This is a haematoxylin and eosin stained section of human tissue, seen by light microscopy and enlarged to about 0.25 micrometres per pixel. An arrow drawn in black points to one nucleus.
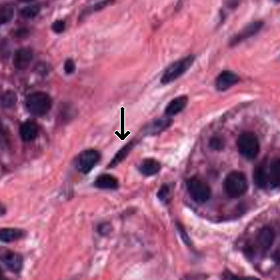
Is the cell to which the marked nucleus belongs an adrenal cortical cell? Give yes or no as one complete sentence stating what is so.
No, belonging to a supporting cell, the marked nucleus is not part of an adrenal cortical cell.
